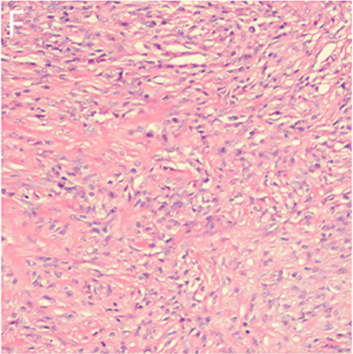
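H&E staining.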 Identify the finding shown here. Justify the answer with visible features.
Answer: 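Layered fibrous tissue hyperplasia. Pink collagen bands run through the field in layers. Many spindle-shaped nuclei lie between the fibres.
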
